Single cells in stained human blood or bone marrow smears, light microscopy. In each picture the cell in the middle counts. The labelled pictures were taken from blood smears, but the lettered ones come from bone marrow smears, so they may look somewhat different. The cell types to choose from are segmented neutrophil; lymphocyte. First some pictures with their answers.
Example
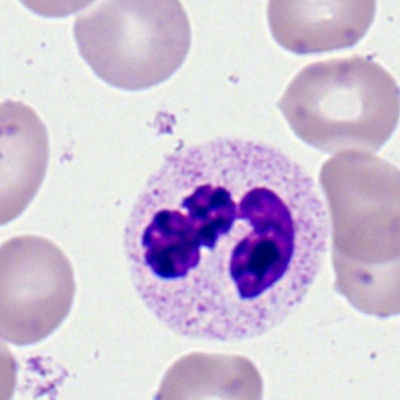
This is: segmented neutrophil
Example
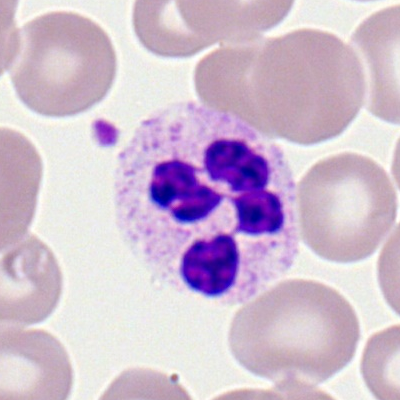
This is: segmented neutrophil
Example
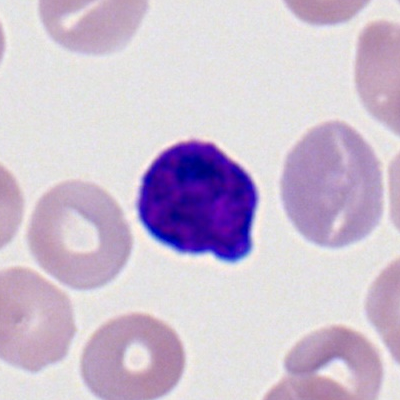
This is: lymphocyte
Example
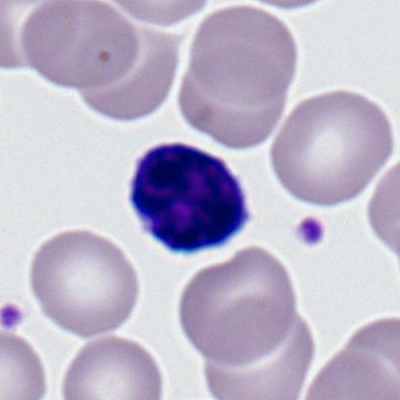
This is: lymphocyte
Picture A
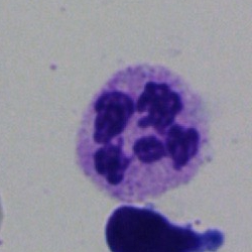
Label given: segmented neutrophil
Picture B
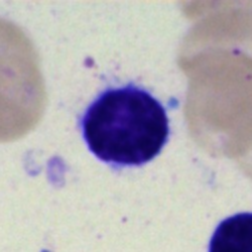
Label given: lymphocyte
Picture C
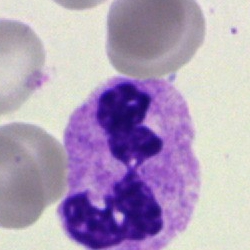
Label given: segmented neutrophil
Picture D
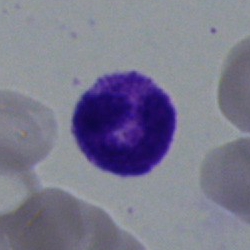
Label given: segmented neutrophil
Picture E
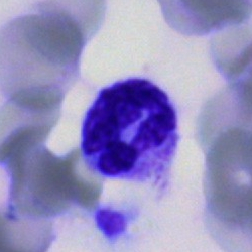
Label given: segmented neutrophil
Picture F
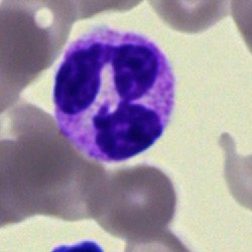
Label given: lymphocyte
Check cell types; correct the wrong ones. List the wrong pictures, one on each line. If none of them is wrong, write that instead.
F: change lymphocyte to segmented neutrophil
